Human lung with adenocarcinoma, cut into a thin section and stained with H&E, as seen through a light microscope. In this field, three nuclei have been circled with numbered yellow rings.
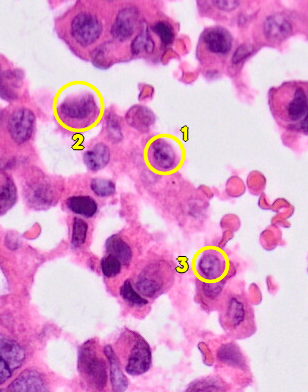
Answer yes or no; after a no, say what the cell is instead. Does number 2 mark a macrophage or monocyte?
No, it is a carcinoma cell.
